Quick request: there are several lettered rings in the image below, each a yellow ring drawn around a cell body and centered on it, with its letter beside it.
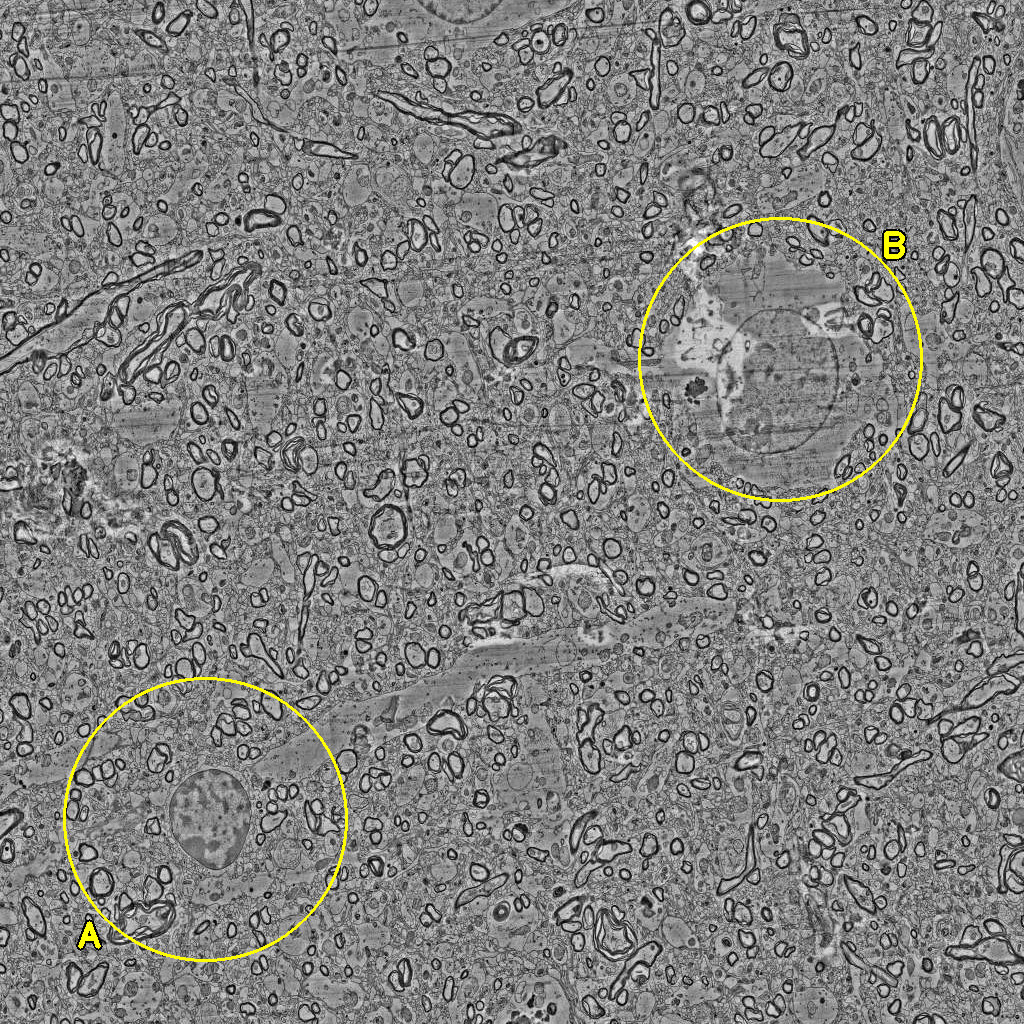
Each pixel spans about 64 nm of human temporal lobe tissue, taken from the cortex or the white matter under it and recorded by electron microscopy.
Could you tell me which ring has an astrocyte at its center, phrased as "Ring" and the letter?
Ring B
